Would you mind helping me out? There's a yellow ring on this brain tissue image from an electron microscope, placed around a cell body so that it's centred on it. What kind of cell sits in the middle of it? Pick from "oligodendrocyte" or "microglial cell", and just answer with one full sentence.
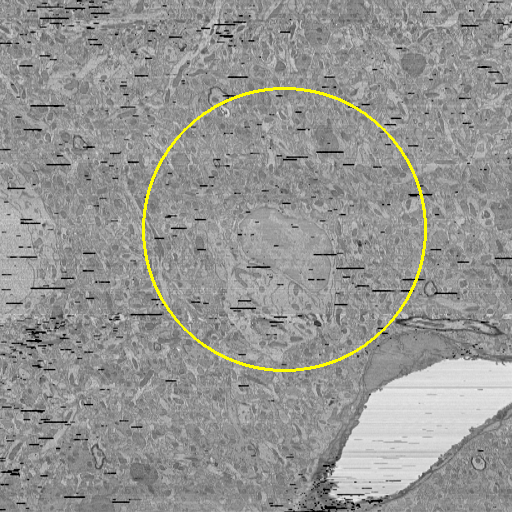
What sits in the middle of that yellow ring is a microglial cell, from your choices.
